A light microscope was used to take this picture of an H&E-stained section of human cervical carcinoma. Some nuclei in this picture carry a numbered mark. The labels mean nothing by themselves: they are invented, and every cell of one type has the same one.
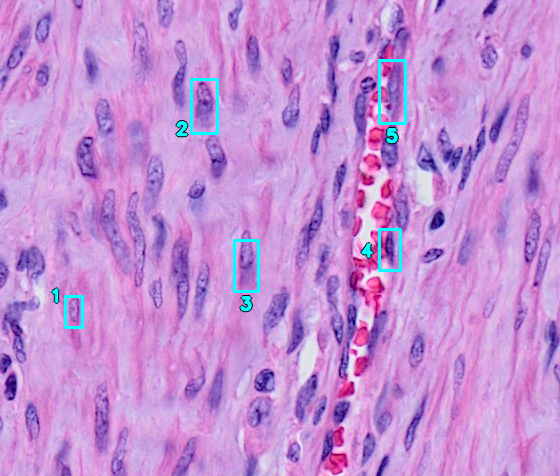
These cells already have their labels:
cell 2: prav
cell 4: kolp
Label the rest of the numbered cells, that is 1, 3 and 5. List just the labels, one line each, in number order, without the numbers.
prav
prav
kolp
